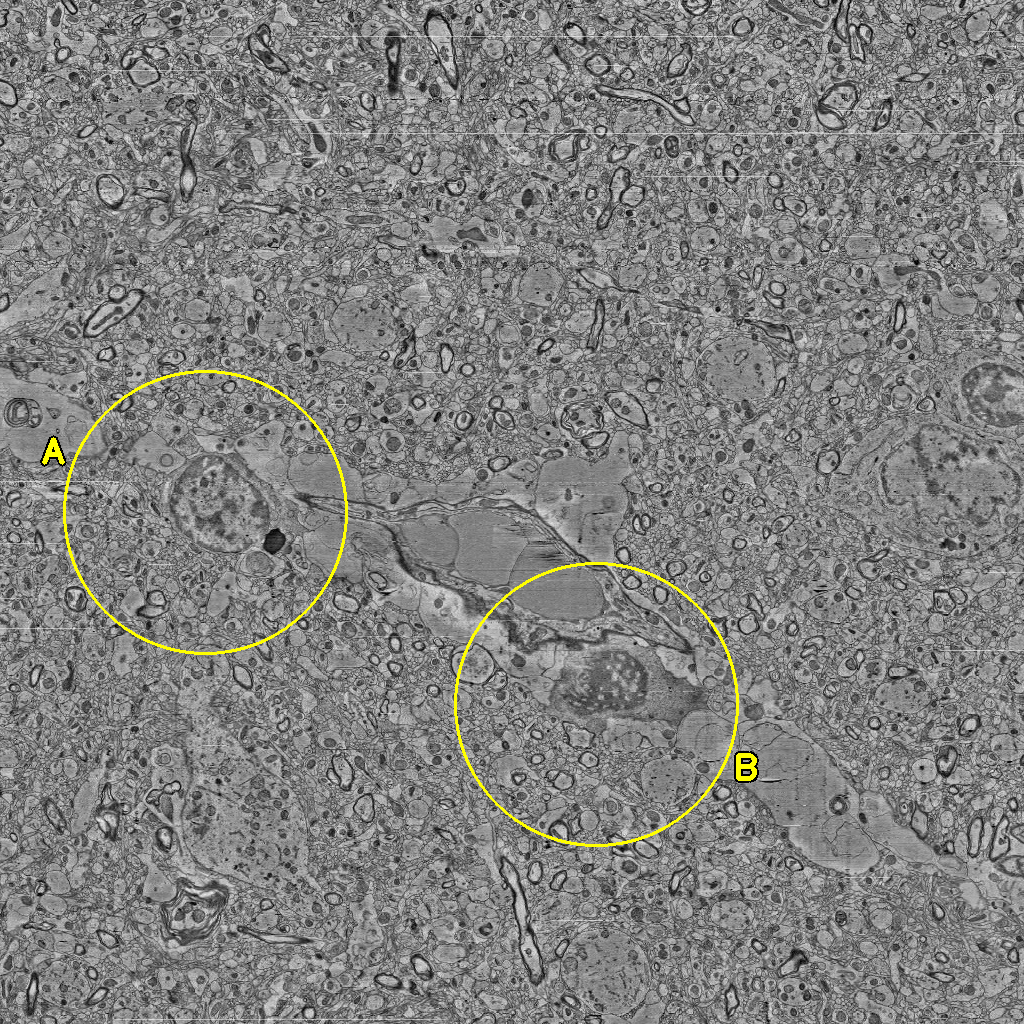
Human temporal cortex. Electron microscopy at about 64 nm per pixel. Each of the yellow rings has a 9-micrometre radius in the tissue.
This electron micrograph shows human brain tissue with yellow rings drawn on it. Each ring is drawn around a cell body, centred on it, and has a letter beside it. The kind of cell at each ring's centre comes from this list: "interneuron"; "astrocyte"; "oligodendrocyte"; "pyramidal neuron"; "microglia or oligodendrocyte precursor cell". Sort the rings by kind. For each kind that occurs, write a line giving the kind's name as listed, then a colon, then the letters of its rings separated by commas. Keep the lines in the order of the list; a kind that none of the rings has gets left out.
oligodendrocyte: A, B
